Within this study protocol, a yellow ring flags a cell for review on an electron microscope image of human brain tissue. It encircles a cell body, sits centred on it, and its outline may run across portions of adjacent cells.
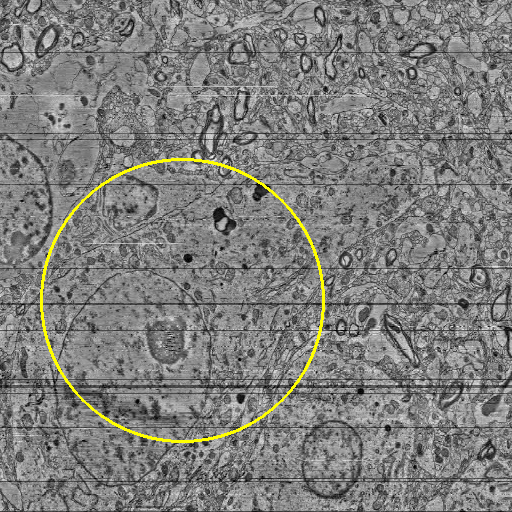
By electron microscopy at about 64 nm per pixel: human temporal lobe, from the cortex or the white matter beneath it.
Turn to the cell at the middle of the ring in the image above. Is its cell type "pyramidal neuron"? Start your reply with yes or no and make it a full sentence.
Yes, the cell at the ring's centre in the image above has that cell type.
